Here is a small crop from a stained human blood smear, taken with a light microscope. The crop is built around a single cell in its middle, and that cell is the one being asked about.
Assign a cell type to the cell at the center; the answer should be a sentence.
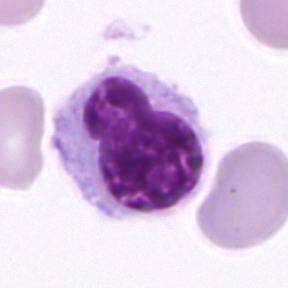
This crop's central cell is a plasma cell.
